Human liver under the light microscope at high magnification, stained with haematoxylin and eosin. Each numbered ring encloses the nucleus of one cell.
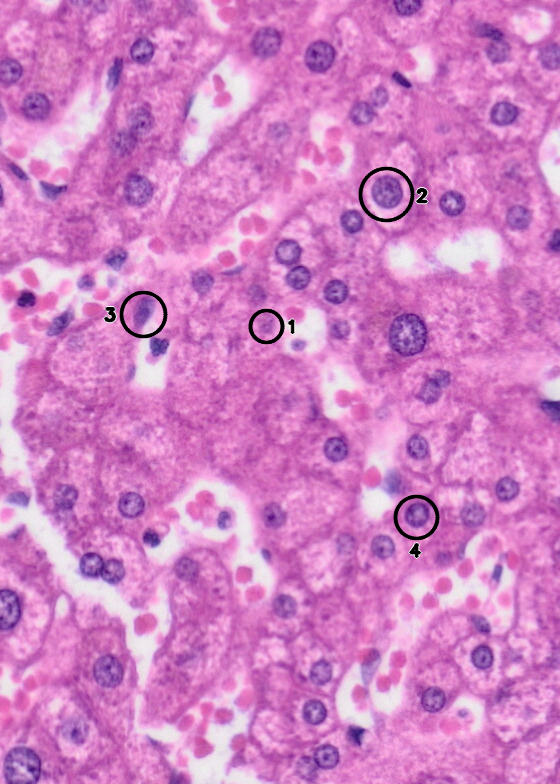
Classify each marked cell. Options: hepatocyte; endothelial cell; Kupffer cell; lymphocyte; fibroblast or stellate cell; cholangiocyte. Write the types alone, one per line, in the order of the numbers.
hepatocyte
hepatocyte
fibroblast or stellate cell
hepatocyte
